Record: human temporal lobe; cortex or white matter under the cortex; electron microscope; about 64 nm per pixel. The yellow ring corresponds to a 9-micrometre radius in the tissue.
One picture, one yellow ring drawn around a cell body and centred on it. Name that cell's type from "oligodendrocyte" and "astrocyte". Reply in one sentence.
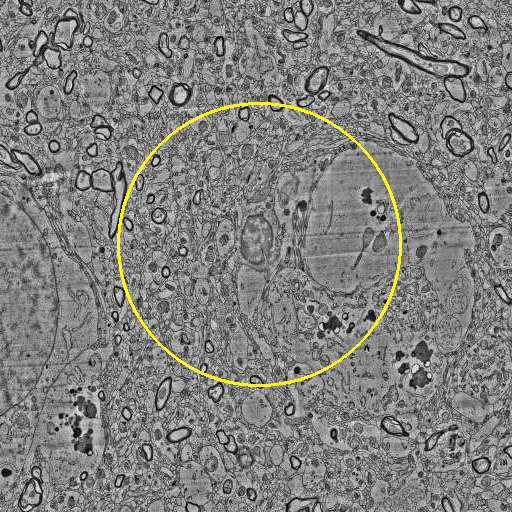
Centred in the ring is an oligodendrocyte.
